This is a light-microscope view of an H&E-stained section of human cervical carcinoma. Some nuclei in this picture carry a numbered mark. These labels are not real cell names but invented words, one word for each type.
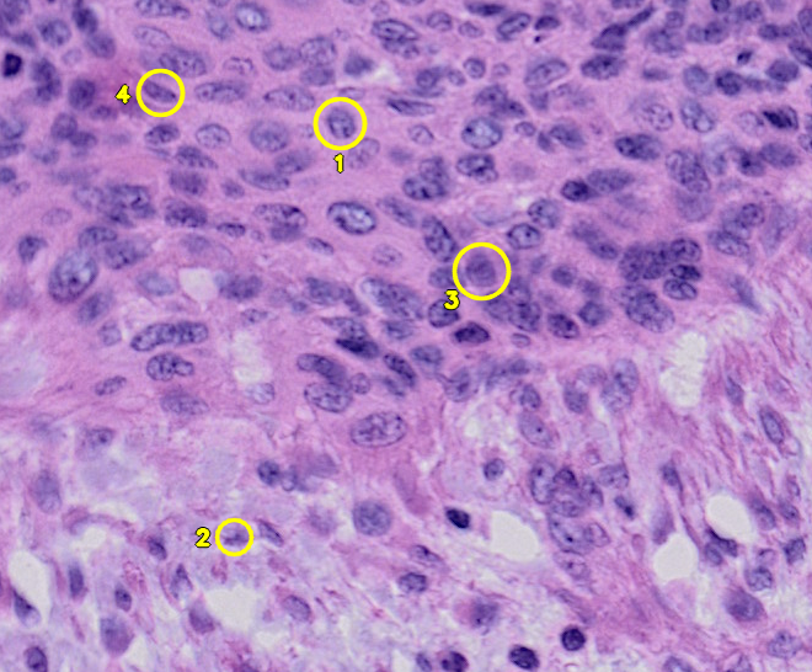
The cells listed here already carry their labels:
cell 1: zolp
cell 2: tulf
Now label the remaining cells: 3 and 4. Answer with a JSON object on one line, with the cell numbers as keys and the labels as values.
{"3": "zolp", "4": "zolp"}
